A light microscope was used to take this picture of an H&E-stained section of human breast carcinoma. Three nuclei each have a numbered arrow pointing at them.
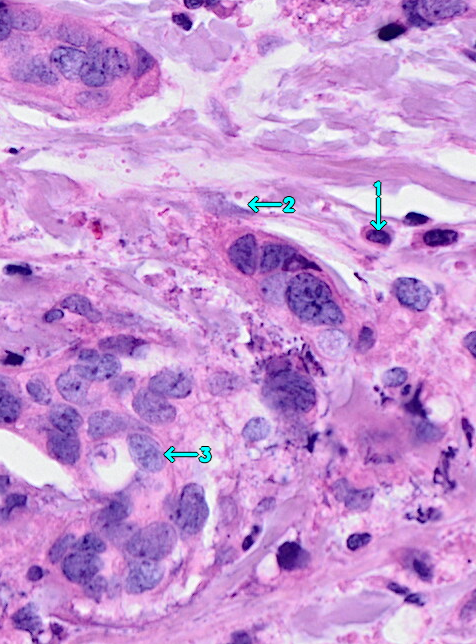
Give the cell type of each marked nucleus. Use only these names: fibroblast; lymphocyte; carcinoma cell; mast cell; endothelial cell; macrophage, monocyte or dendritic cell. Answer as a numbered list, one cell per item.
1. mast cell
2. fibroblast
3. carcinoma cell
